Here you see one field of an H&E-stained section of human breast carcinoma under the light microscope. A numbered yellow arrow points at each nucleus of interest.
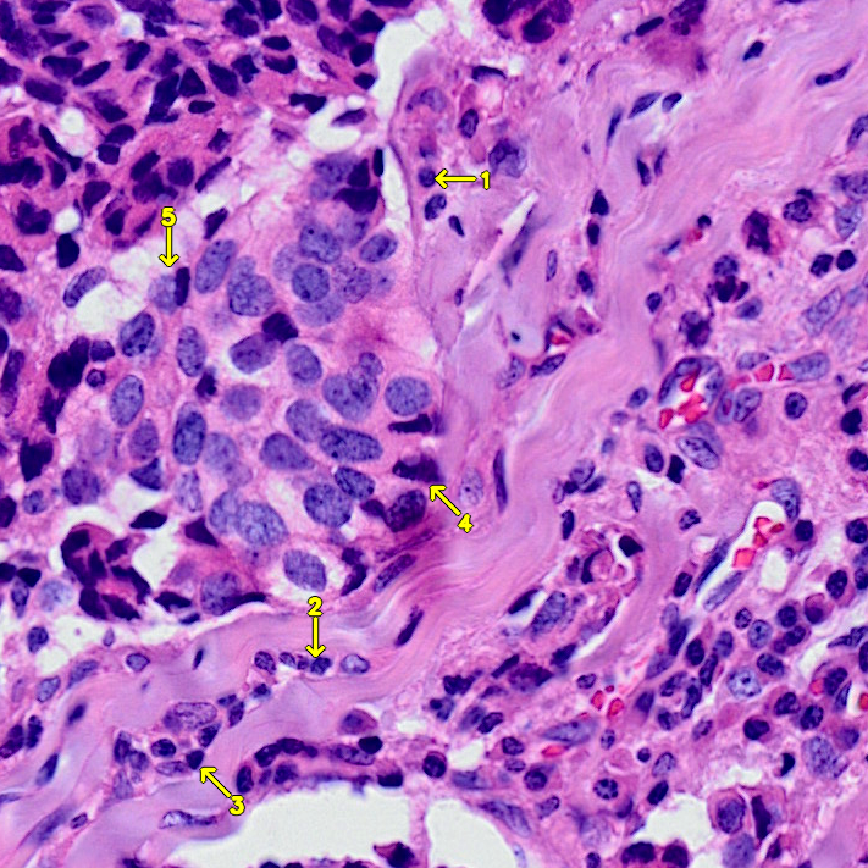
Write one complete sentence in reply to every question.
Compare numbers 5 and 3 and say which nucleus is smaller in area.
Nucleus 3 is the smaller one; nucleus 5 covers about 4 times its area.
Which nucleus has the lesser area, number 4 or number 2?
Nucleus 2 covers less area, with nucleus 4 about 2 times as large.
